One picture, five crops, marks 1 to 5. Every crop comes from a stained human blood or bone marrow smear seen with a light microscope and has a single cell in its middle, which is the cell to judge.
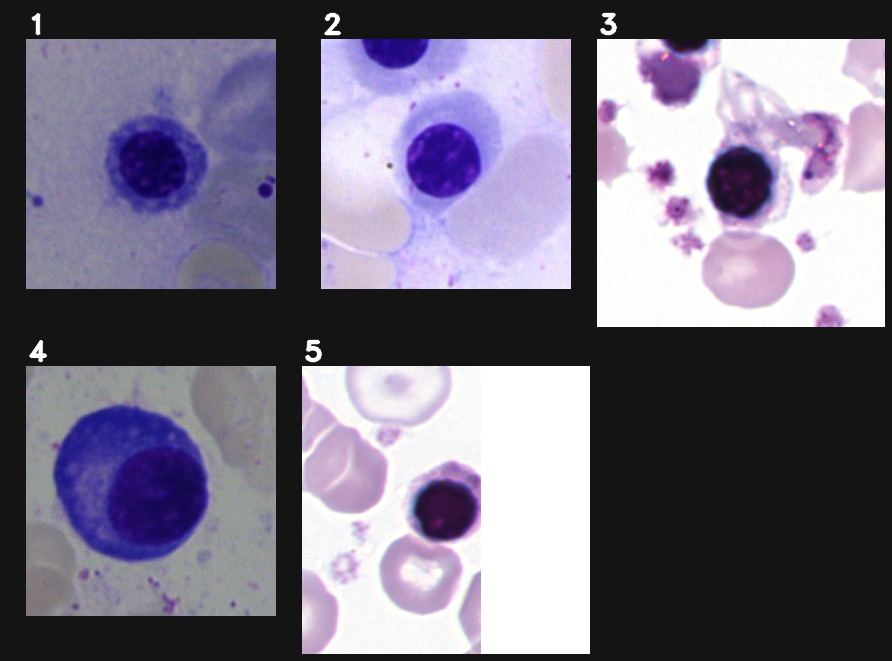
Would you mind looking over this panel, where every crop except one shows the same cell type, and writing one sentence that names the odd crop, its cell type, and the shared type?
The outlier here is crop 4, which is a plasma cell, while the remainder show normoblasts.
